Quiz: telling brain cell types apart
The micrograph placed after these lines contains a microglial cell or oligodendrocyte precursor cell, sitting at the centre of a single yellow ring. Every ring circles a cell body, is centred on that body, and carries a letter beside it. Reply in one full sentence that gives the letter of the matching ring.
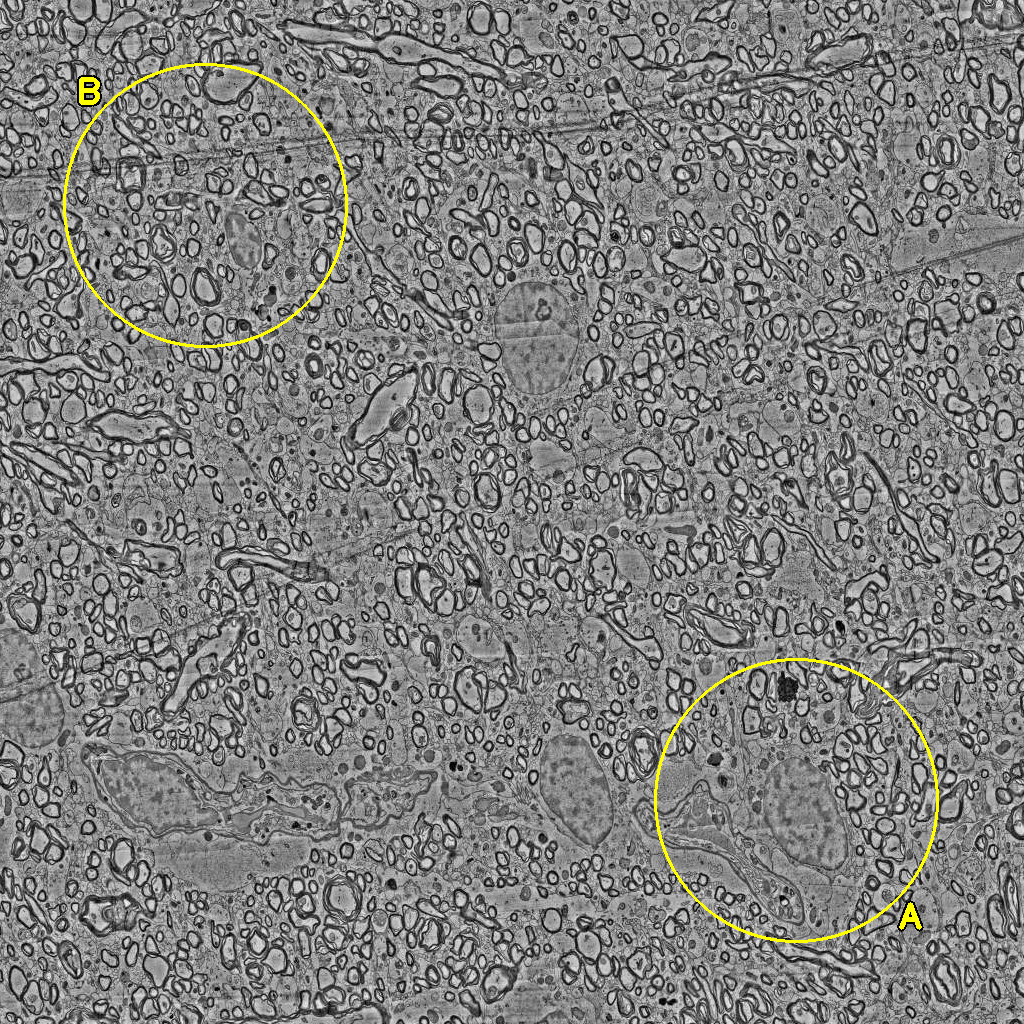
The cell asked for lies at the centre of ring B in the picture.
